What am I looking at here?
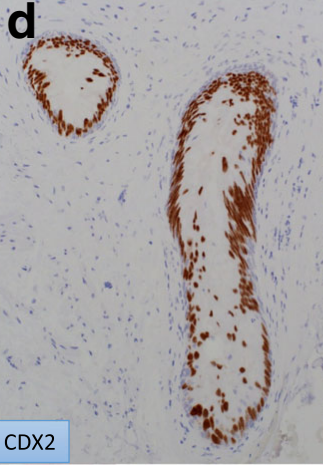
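The smaller gland is cut across and looks round, the larger is cut lengthwise. The surrounding stromal nuclei stay blue, making the stained epithelium stand out sharply against it.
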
